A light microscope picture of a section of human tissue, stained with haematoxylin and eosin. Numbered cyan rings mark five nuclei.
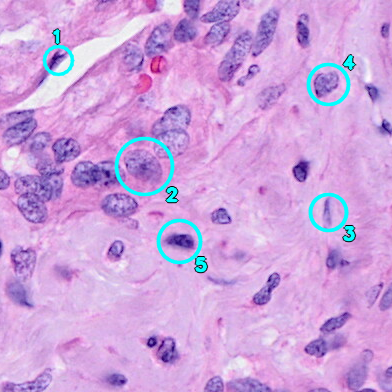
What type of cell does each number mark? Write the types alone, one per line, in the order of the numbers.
endothelial cell
endothelial cell
fibroblast
fibroblast
fibroblast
